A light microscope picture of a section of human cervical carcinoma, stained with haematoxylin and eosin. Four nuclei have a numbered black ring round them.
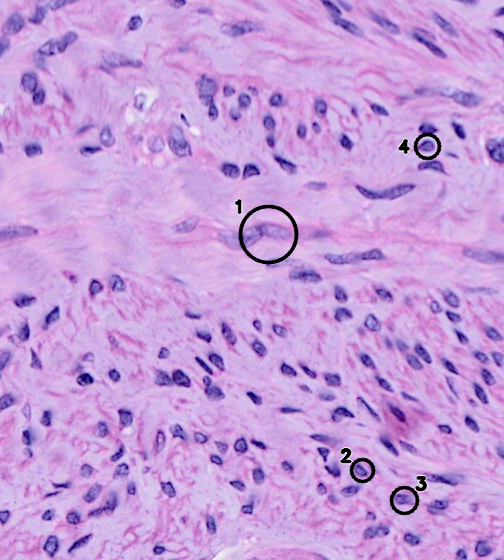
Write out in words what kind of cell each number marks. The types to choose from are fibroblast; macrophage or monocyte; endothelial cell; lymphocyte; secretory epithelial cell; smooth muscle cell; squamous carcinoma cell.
Cells 1, 2 and 3 are smooth muscle cells. Cell 4 is a fibroblast.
